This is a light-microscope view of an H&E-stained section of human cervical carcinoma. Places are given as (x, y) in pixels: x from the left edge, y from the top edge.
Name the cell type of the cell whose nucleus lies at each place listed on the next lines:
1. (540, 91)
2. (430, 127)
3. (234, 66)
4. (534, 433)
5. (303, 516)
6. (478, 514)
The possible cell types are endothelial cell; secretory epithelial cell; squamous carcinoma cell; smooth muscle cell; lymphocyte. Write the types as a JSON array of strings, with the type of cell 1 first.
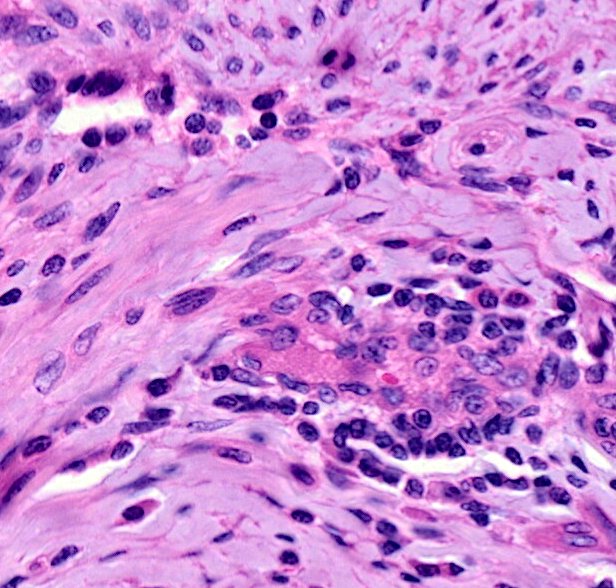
["smooth muscle cell", "lymphocyte", "smooth muscle cell", "lymphocyte", "lymphocyte", "lymphocyte"]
